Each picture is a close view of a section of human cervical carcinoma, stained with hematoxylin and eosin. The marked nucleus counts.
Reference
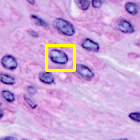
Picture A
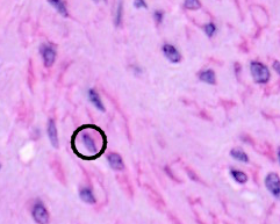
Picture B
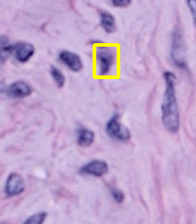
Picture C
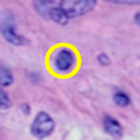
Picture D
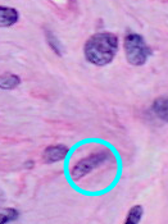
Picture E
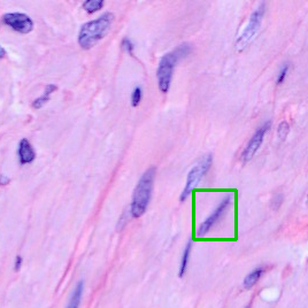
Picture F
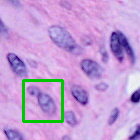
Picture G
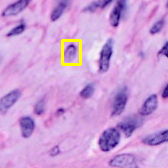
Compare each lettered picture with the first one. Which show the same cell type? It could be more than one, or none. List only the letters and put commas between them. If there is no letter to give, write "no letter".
A, B, C, D, F, G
